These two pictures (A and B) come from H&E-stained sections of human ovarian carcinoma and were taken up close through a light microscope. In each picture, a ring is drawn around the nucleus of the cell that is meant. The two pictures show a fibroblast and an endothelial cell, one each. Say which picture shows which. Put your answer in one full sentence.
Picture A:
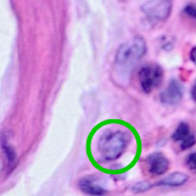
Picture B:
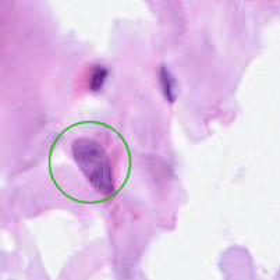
The cell in picture A is an endothelial cell, and the one in picture B is a fibroblast.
